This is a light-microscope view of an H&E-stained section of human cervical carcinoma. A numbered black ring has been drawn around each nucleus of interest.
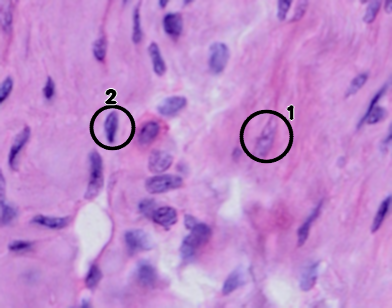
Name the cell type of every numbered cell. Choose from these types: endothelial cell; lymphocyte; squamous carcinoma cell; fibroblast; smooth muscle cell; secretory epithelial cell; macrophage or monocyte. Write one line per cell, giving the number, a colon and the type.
1: smooth muscle cell
2: fibroblast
